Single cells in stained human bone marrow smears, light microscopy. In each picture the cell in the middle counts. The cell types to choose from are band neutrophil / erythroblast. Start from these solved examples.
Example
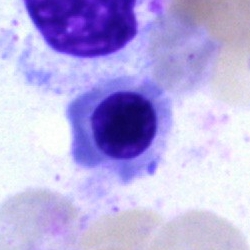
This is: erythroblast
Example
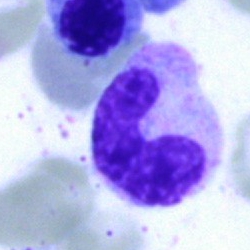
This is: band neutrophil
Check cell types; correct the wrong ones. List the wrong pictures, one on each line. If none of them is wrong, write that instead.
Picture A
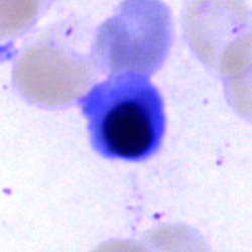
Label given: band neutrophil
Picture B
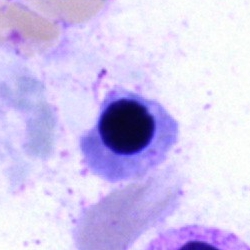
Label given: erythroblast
Wrong: A (band neutrophil); correct: erythroblast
